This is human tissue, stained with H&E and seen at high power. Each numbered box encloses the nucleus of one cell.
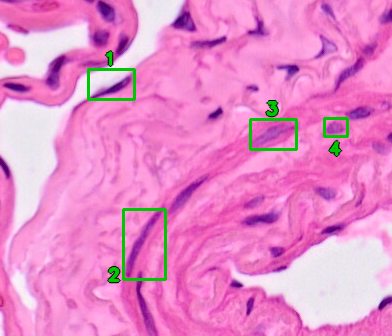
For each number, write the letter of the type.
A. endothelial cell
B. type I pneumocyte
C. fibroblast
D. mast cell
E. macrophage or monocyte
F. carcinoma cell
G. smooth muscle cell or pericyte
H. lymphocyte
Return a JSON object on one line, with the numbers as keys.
{"1": "A", "2": "G", "3": "G", "4": "G"}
